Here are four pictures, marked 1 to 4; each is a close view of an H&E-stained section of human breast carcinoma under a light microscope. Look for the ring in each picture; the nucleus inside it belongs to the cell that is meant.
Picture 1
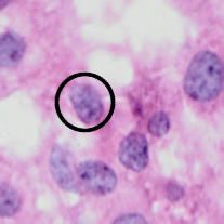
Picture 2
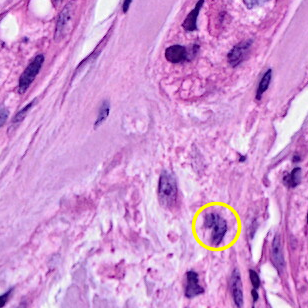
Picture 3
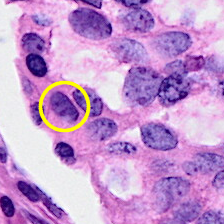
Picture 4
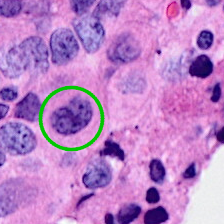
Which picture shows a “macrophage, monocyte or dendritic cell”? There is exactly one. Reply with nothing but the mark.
2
